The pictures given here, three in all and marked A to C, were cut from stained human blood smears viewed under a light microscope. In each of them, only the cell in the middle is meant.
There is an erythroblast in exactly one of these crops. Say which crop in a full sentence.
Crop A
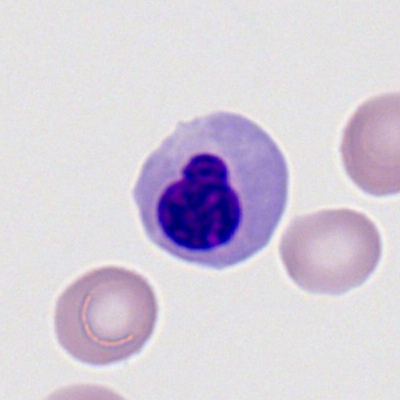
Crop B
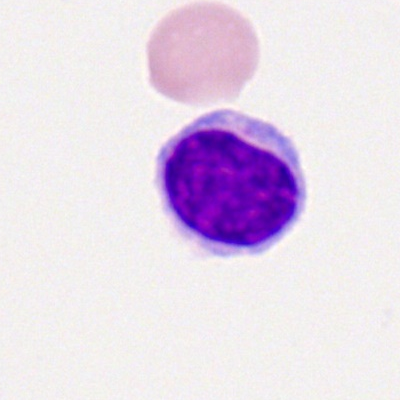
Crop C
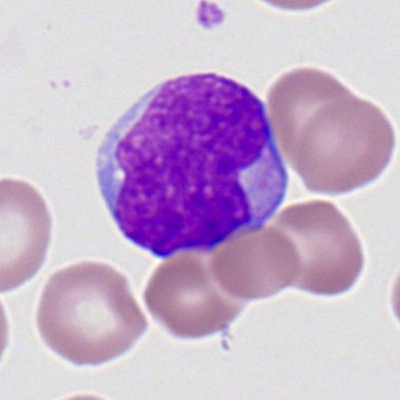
On review of the set, crop A is the one showing an erythroblast.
